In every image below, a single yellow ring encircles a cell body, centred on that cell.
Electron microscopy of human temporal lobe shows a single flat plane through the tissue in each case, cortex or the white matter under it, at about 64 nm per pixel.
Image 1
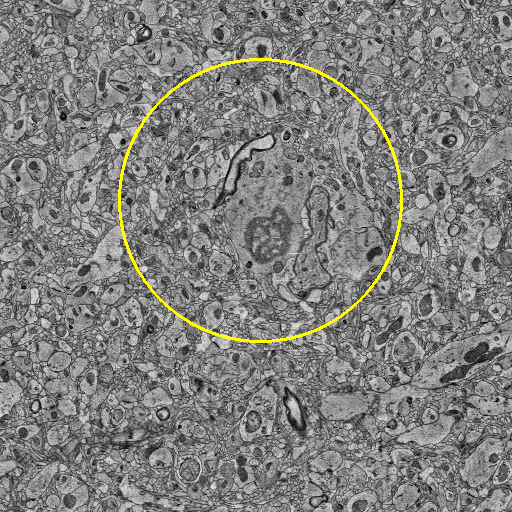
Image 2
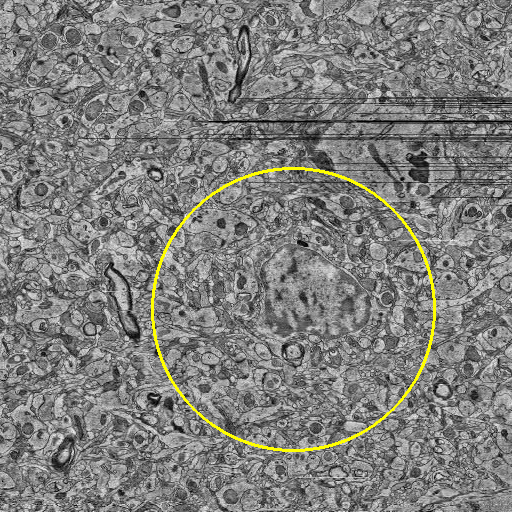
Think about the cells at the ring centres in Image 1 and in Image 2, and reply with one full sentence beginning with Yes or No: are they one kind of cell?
No, the cells centred in the rings of Image 1 and Image 2 are two kinds of cell.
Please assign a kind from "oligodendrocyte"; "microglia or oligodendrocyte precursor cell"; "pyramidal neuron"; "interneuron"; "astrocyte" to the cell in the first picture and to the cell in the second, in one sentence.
In the first picture we have an oligodendrocyte, and in the second, a microglial cell or oligodendrocyte precursor cell.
